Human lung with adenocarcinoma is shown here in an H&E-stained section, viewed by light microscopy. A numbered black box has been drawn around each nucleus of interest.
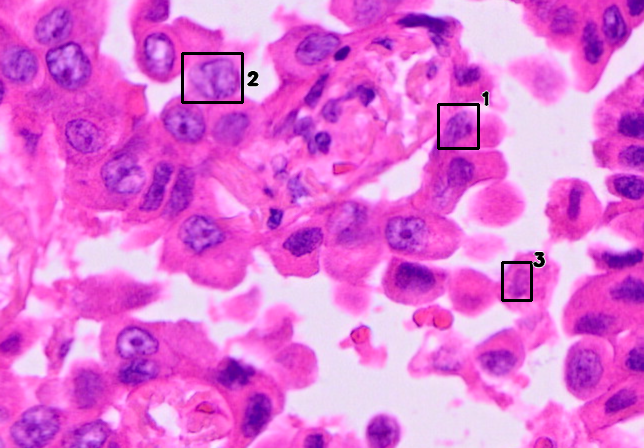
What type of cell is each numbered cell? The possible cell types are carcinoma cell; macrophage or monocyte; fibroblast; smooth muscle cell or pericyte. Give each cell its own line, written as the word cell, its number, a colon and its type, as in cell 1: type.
cell 1: carcinoma cell
cell 2: carcinoma cell
cell 3: macrophage or monocyte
